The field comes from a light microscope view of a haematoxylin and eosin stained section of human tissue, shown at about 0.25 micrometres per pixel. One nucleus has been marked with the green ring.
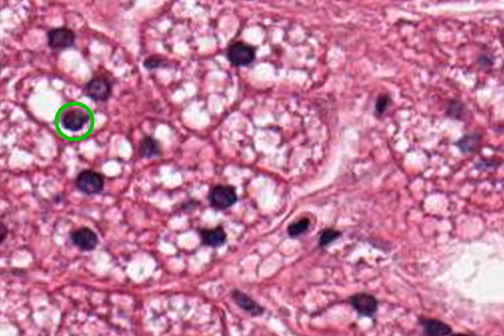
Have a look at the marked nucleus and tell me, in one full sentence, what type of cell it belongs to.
The mark falls on a nucleus belonging to an adrenal cortical cell.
